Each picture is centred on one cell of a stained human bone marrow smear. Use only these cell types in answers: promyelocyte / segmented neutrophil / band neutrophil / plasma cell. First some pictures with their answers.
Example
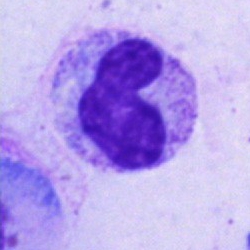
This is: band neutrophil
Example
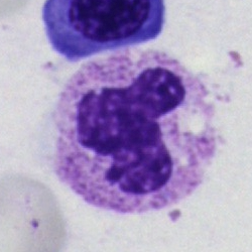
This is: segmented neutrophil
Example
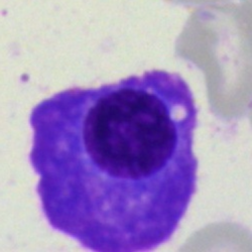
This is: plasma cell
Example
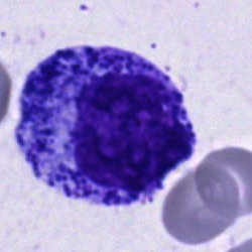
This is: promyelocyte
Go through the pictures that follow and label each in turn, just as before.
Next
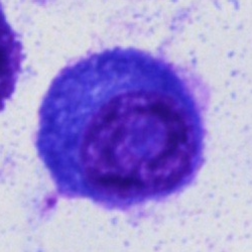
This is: plasma cell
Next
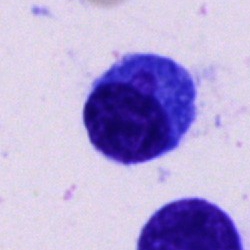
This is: plasma cell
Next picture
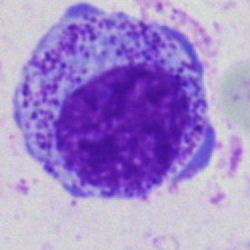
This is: promyelocyte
